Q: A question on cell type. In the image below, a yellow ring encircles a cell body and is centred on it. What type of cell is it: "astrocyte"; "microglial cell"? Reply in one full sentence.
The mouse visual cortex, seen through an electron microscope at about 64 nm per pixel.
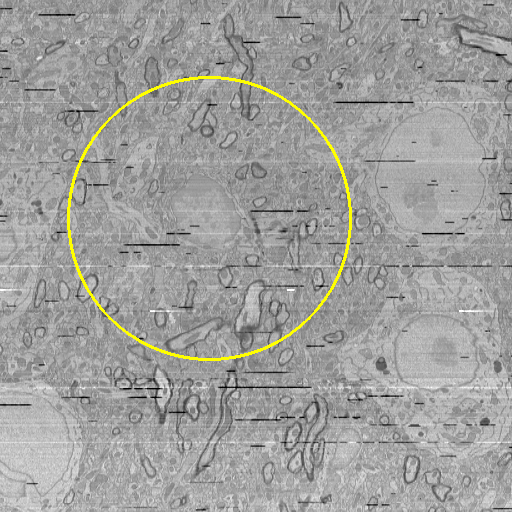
It is a microglial cell whose cell body sits at the centre of the yellow ring in the image.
